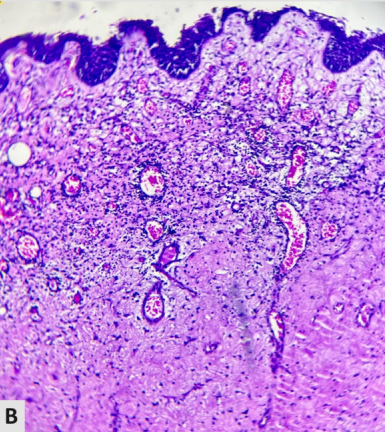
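Skin with a dark purple epidermis forming regular undulating rete ridges over a cellular dermis. The upper dermis holds many small, dilated capillaries. They are round to elongated and lined by flattened cells with dark nuclei. Many contain pink red blood cells. Scattered small dark nuclei lie in the pink fibrous stroma between the vessels.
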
